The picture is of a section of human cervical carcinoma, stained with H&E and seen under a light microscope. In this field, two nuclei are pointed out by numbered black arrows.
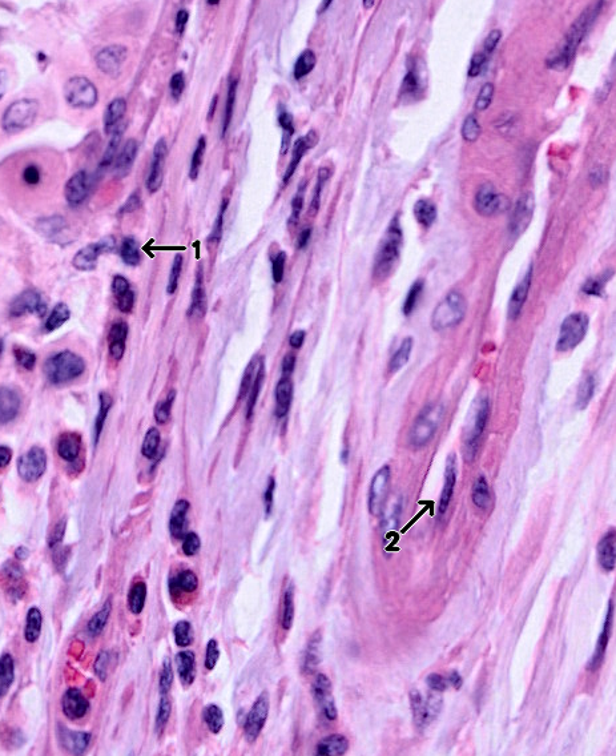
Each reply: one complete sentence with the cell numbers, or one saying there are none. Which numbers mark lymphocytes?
The cell marked by number 1 is a lymphocyte; the other marked cells are not.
